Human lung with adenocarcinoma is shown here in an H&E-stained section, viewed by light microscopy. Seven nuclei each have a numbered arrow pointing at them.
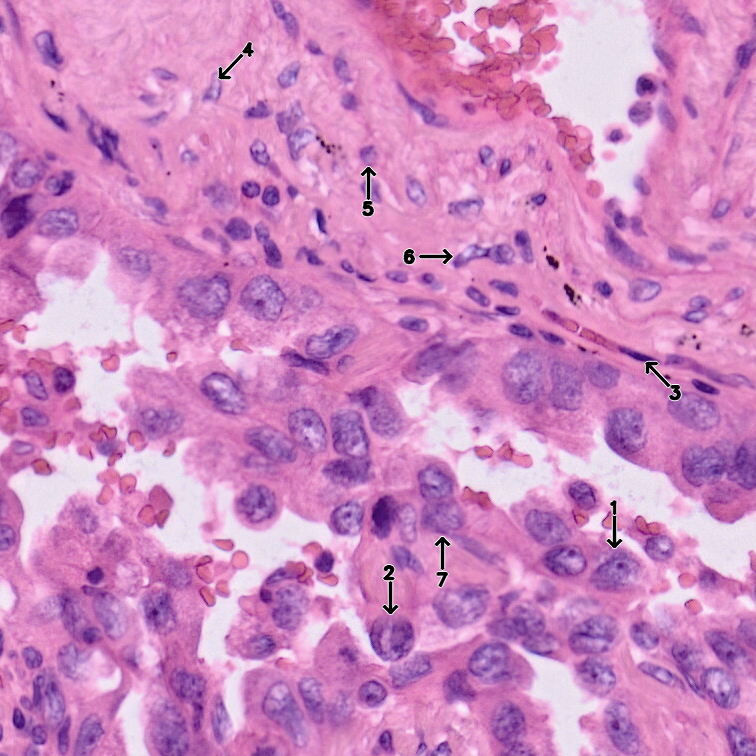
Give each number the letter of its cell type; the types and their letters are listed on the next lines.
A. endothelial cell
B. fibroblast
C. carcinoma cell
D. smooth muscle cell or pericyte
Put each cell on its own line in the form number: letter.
1: C
2: C
3: A
4: B
5: D
6: B
7: C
